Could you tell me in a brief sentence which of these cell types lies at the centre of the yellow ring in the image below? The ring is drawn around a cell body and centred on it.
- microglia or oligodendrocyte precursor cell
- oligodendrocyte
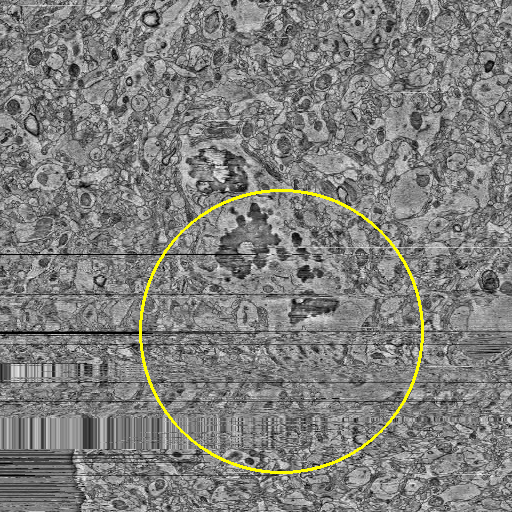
The cell centred in the ring is a microglial cell or oligodendrocyte precursor cell.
